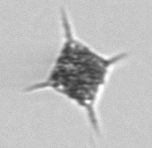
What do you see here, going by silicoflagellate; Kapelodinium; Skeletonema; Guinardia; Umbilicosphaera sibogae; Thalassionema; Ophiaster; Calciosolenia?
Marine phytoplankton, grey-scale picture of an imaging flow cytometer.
I see a silicoflagellate.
